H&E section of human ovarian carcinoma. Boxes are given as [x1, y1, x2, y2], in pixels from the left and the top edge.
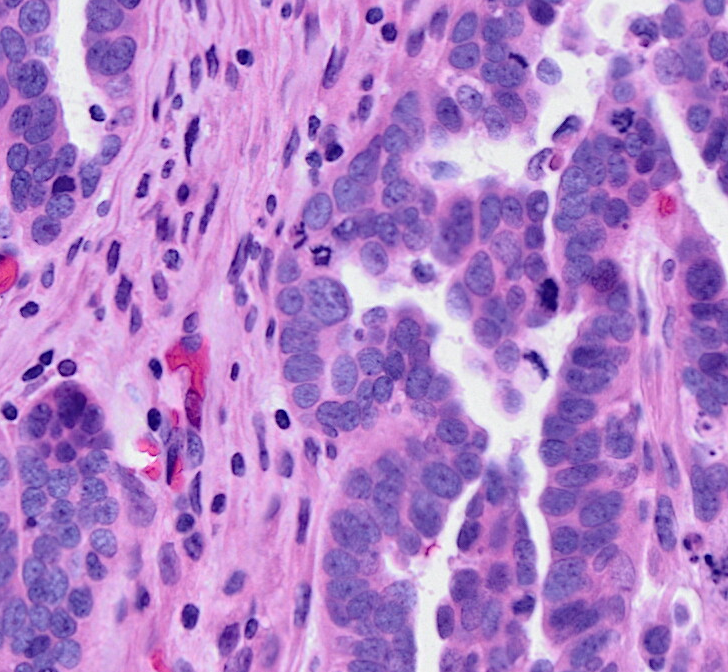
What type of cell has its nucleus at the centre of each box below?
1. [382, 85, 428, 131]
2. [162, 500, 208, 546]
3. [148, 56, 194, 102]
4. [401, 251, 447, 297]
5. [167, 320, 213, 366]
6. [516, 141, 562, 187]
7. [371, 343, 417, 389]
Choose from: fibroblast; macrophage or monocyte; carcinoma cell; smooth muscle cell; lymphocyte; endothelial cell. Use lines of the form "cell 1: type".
cell 1: carcinoma cell
cell 2: lymphocyte
cell 3: fibroblast
cell 4: macrophage or monocyte
cell 5: endothelial cell
cell 6: macrophage or monocyte
cell 7: carcinoma cell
